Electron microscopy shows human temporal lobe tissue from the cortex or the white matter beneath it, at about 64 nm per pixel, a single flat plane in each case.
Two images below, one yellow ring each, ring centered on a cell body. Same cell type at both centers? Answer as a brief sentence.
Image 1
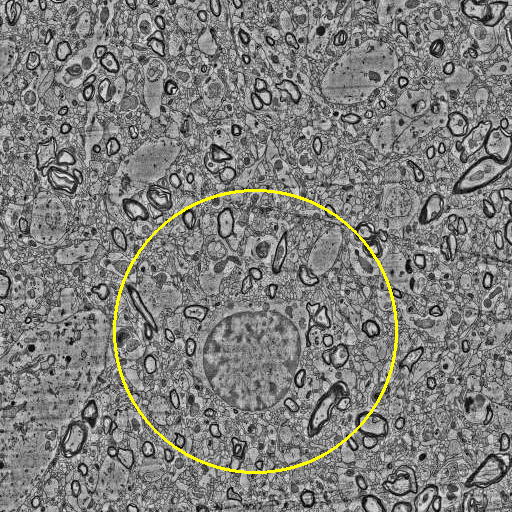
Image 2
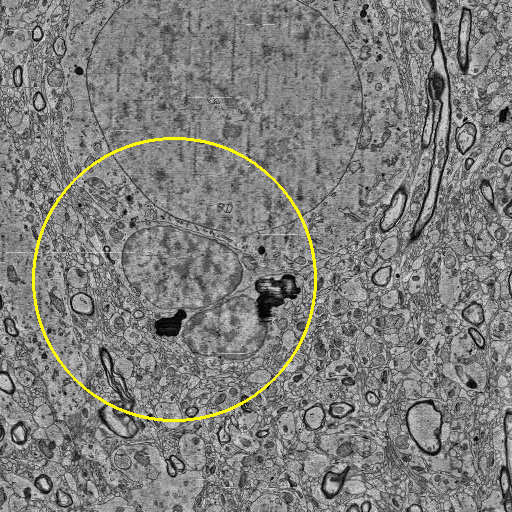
Yes, both cells are of the same type.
